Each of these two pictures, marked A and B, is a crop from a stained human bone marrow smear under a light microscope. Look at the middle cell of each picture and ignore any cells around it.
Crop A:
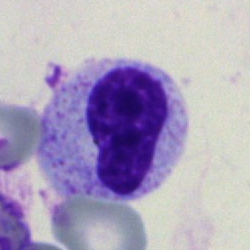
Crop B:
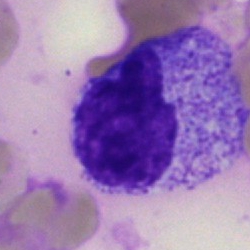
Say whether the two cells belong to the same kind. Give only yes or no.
yes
